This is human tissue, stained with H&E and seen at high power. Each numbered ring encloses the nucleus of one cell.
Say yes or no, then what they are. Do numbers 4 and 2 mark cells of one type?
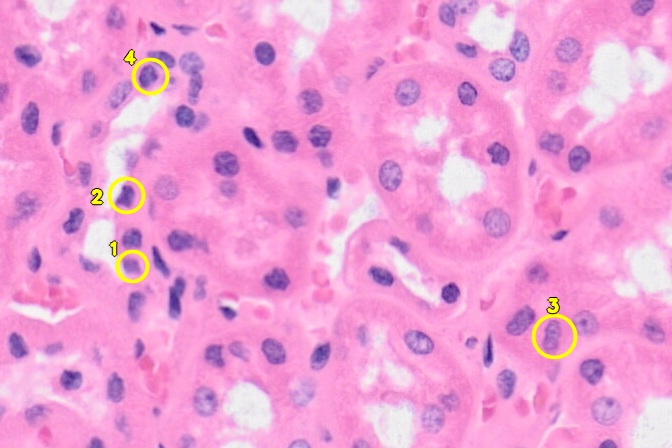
No, a collecting duct cell is what cell 4 is, and a loop of Henle or distal tubule cell is what cell 2 is.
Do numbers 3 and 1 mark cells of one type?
No; whereas cell 3 is a proximal tubule cell, cell 1 is a loop of Henle or distal tubule cell.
